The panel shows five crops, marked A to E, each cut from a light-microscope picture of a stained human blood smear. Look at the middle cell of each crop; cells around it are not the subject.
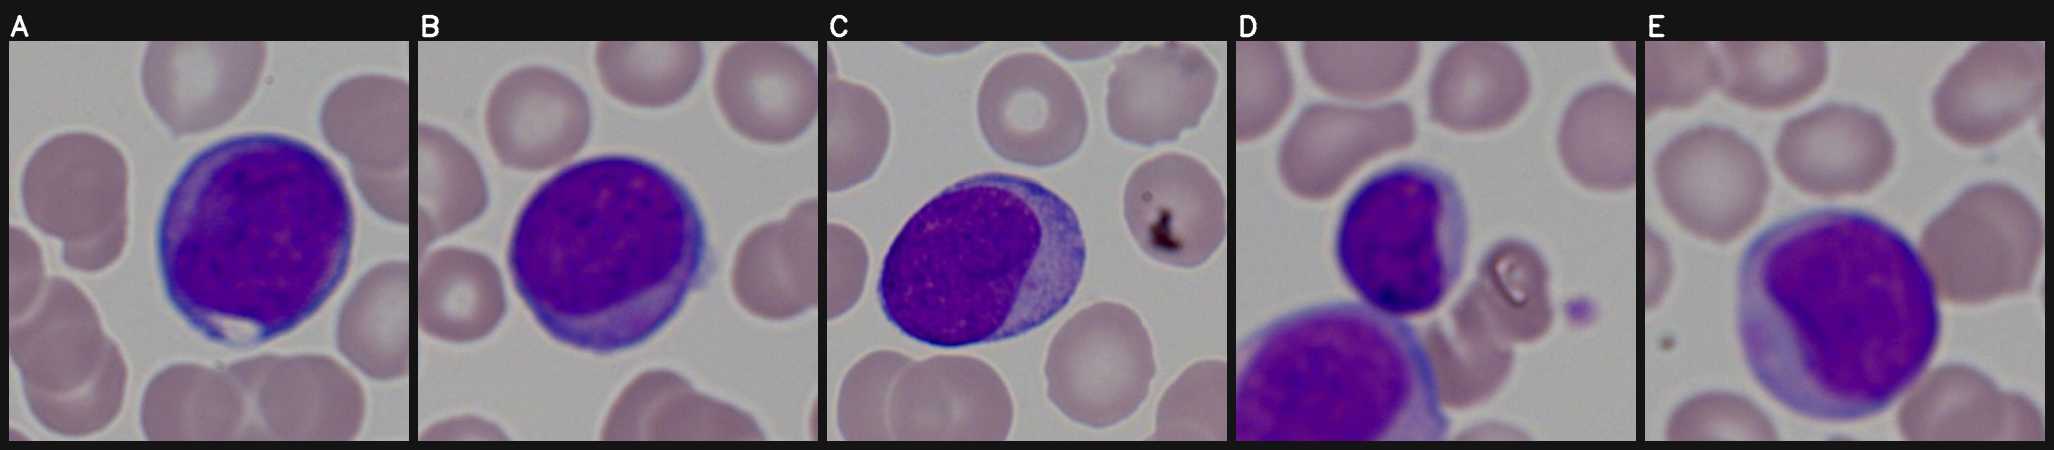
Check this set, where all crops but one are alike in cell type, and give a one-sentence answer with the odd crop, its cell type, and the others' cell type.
Unlike the other crops, which all show myeloblasts, crop D is a lymphocyte.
